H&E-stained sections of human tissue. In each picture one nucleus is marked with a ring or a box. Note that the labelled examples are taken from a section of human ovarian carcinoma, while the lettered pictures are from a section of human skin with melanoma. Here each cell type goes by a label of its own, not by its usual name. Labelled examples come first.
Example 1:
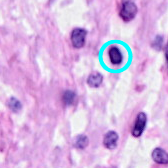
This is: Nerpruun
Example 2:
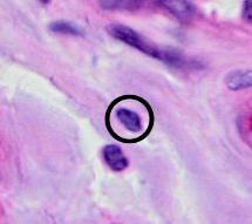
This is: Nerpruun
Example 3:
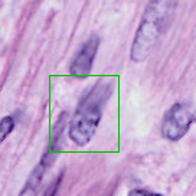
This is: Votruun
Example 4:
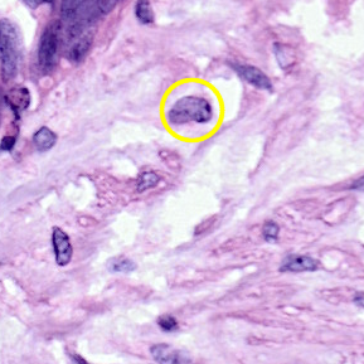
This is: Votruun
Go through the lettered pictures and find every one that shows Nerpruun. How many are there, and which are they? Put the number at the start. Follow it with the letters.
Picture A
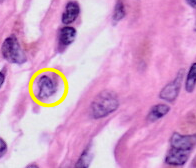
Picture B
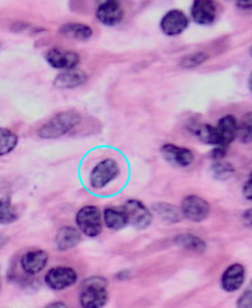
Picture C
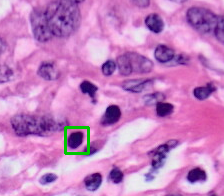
2: B, C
